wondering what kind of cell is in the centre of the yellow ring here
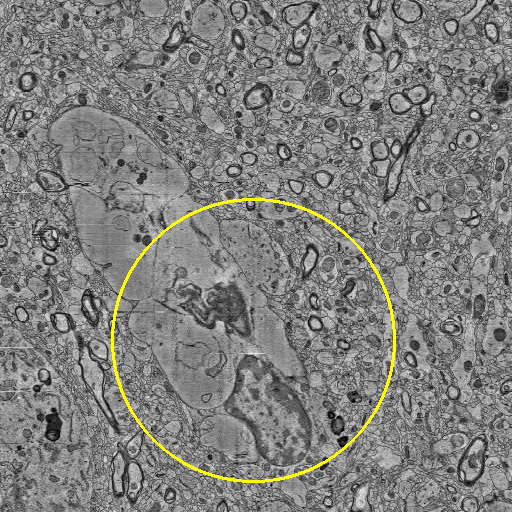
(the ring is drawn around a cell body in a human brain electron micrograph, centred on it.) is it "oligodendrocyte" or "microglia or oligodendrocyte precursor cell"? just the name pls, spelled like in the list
microglia or oligodendrocyte precursor cell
